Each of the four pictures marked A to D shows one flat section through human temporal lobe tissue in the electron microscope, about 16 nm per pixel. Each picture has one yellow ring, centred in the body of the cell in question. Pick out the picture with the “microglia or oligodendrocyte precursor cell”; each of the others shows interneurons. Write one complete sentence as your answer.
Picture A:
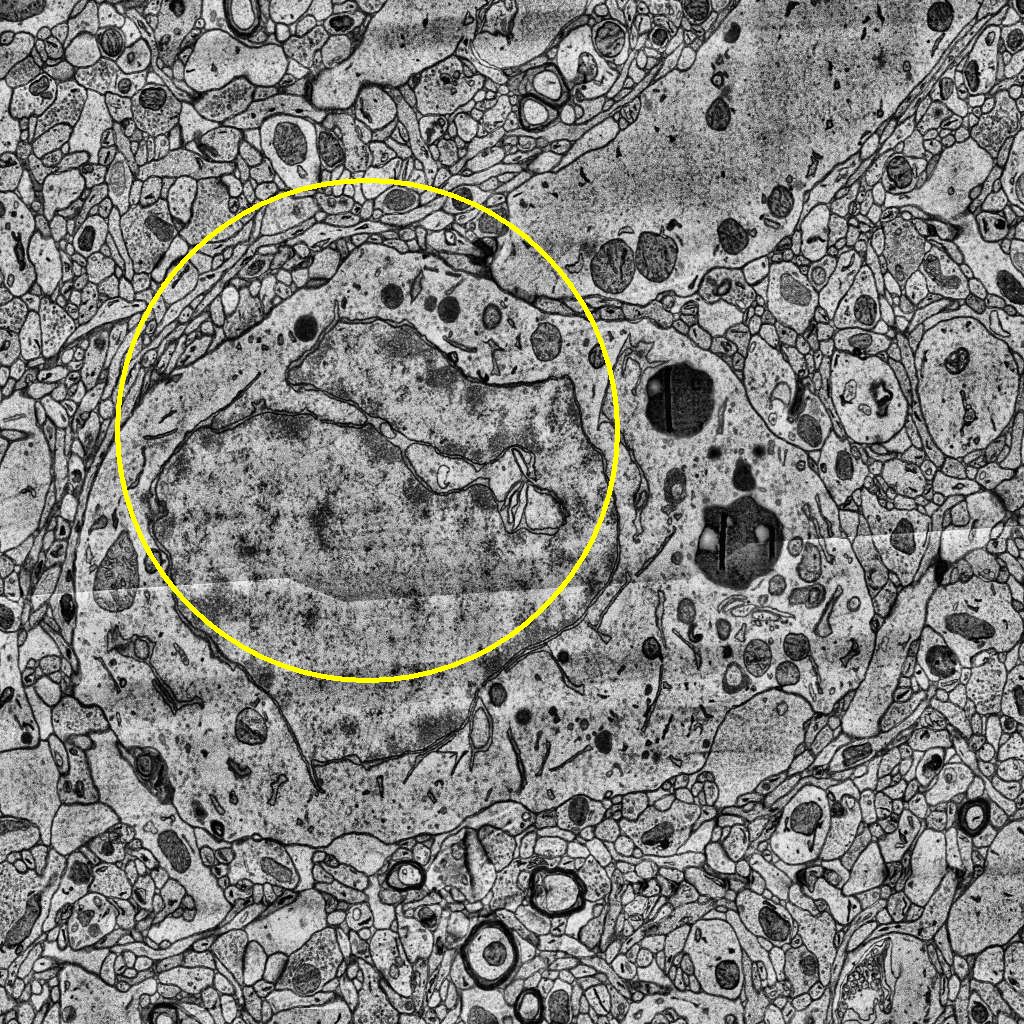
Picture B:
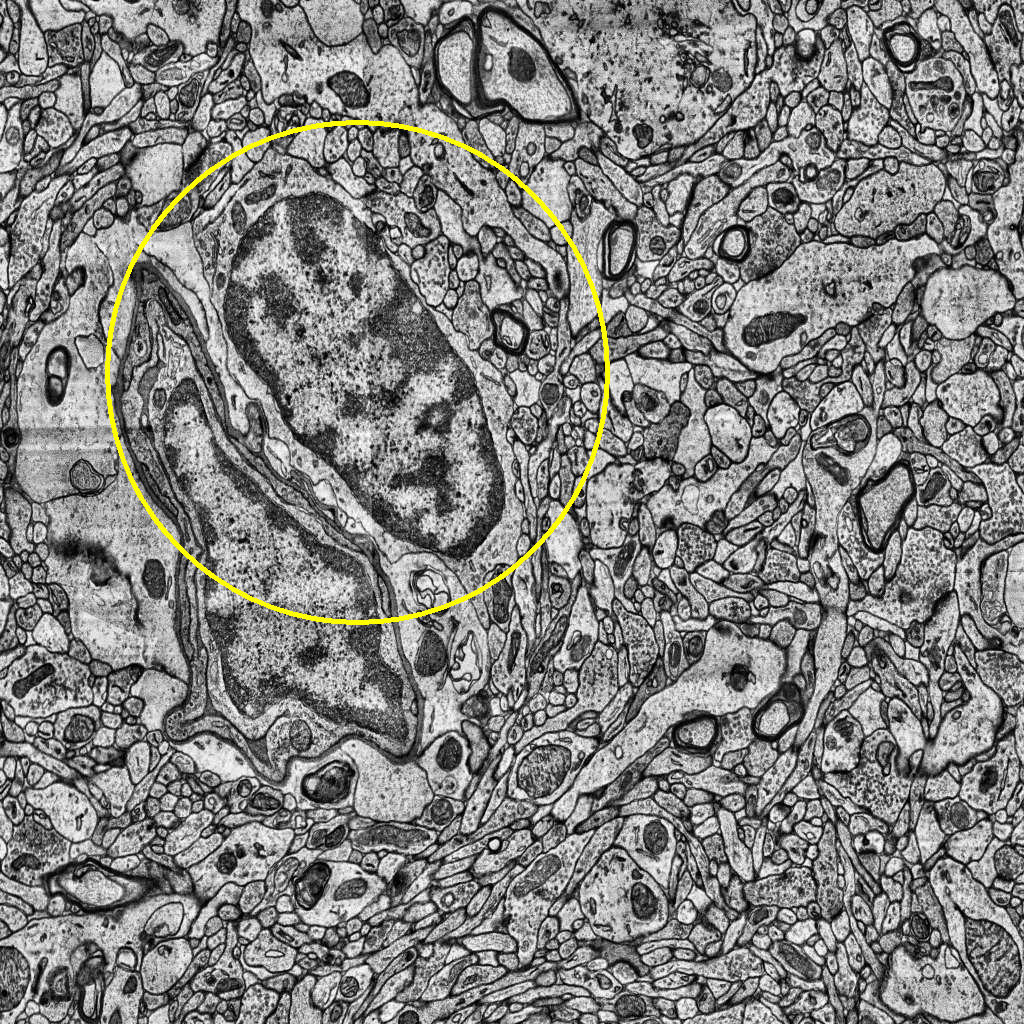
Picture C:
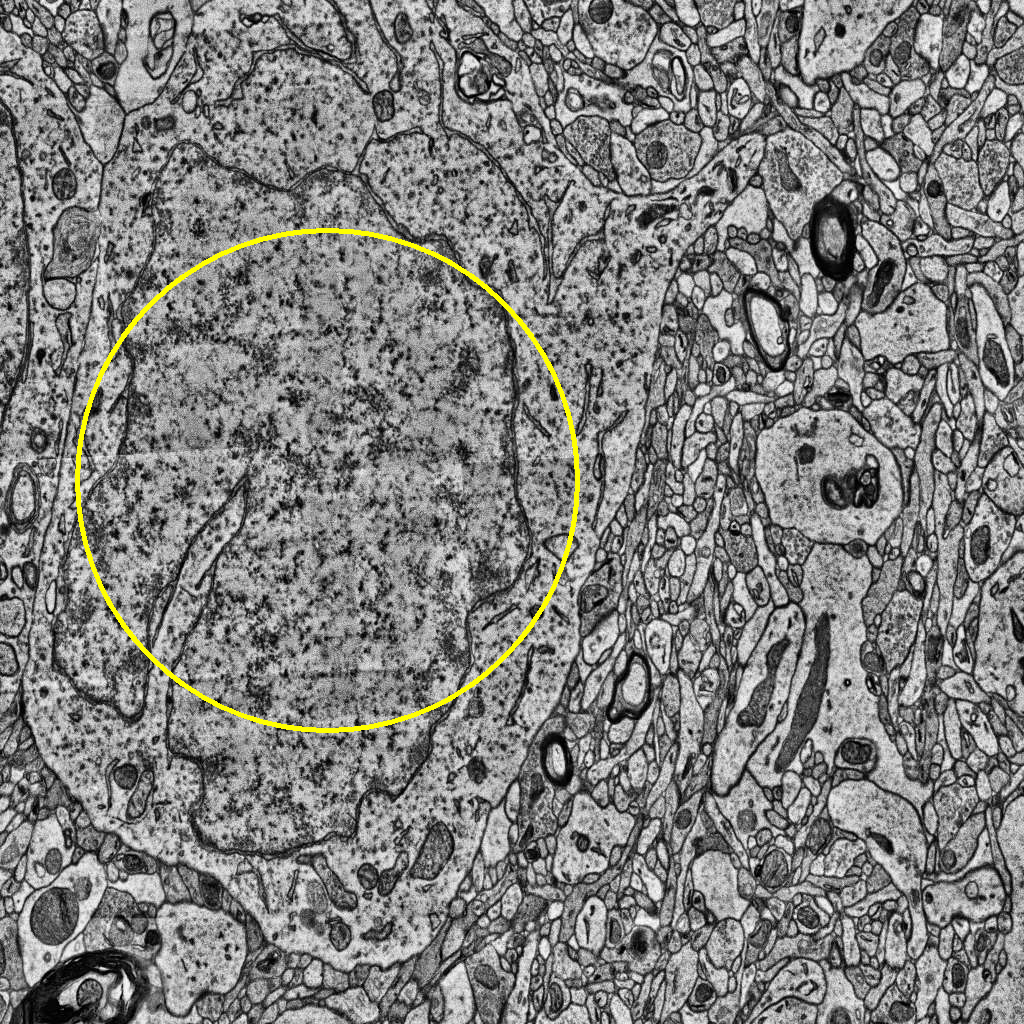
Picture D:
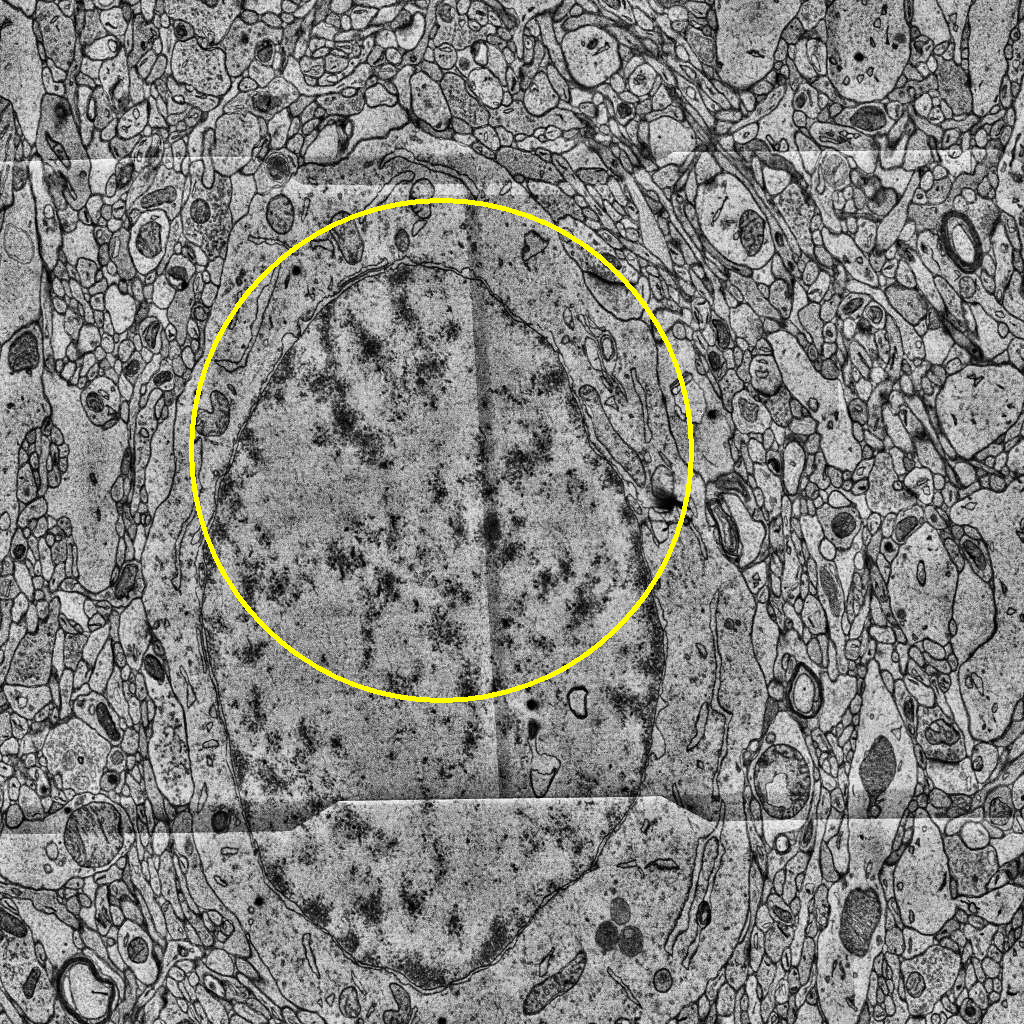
Picture B is the one that shows the “microglia or oligodendrocyte precursor cell”.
